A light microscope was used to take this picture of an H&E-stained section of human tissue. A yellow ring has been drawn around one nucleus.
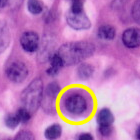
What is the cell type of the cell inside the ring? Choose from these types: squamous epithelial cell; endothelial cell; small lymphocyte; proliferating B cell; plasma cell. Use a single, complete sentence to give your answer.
Considered by cell type, the cell inside the ring is a plasma cell.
